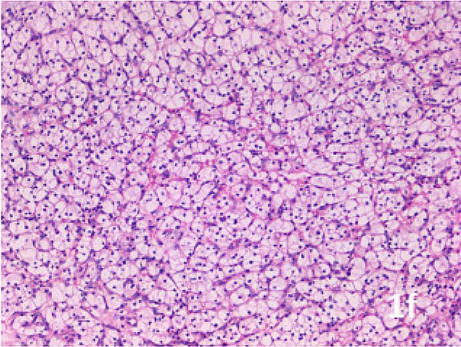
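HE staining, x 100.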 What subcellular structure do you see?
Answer: Empty and bright cytoplasm.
